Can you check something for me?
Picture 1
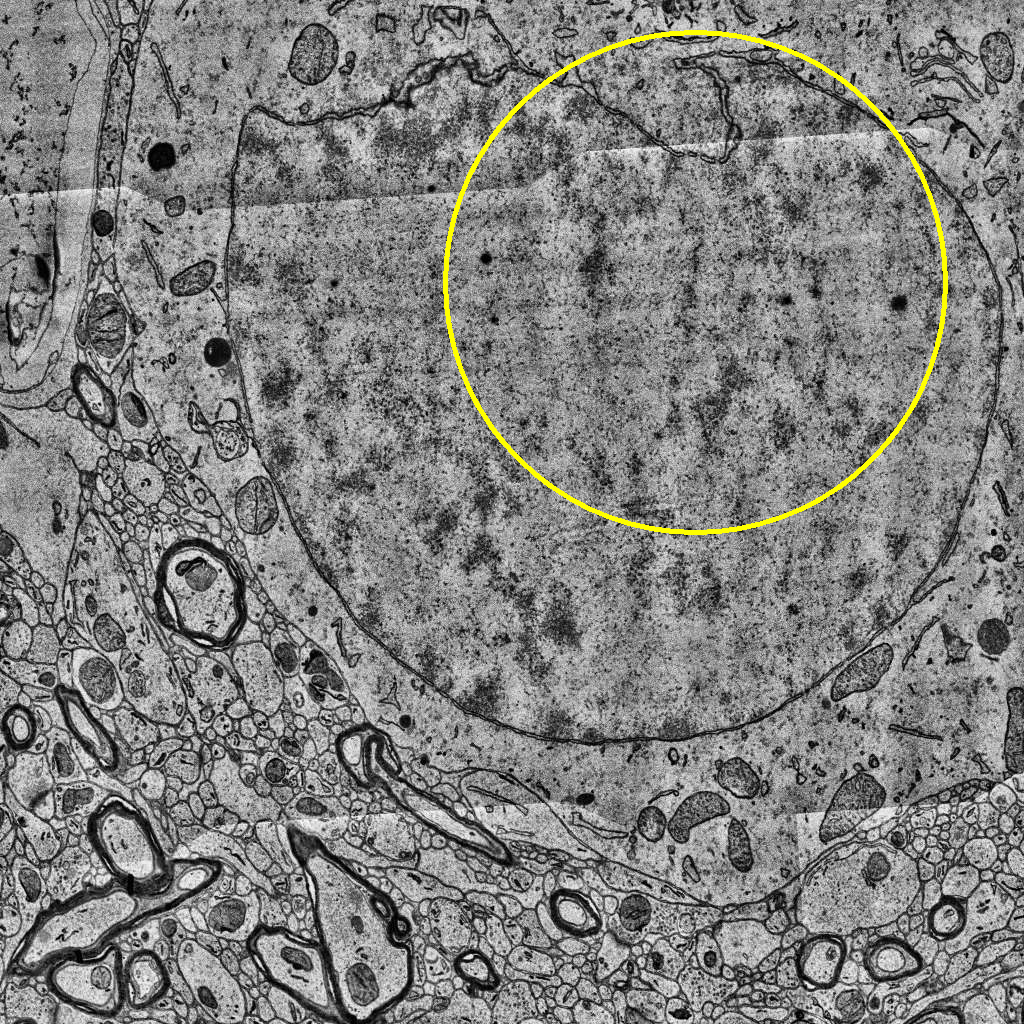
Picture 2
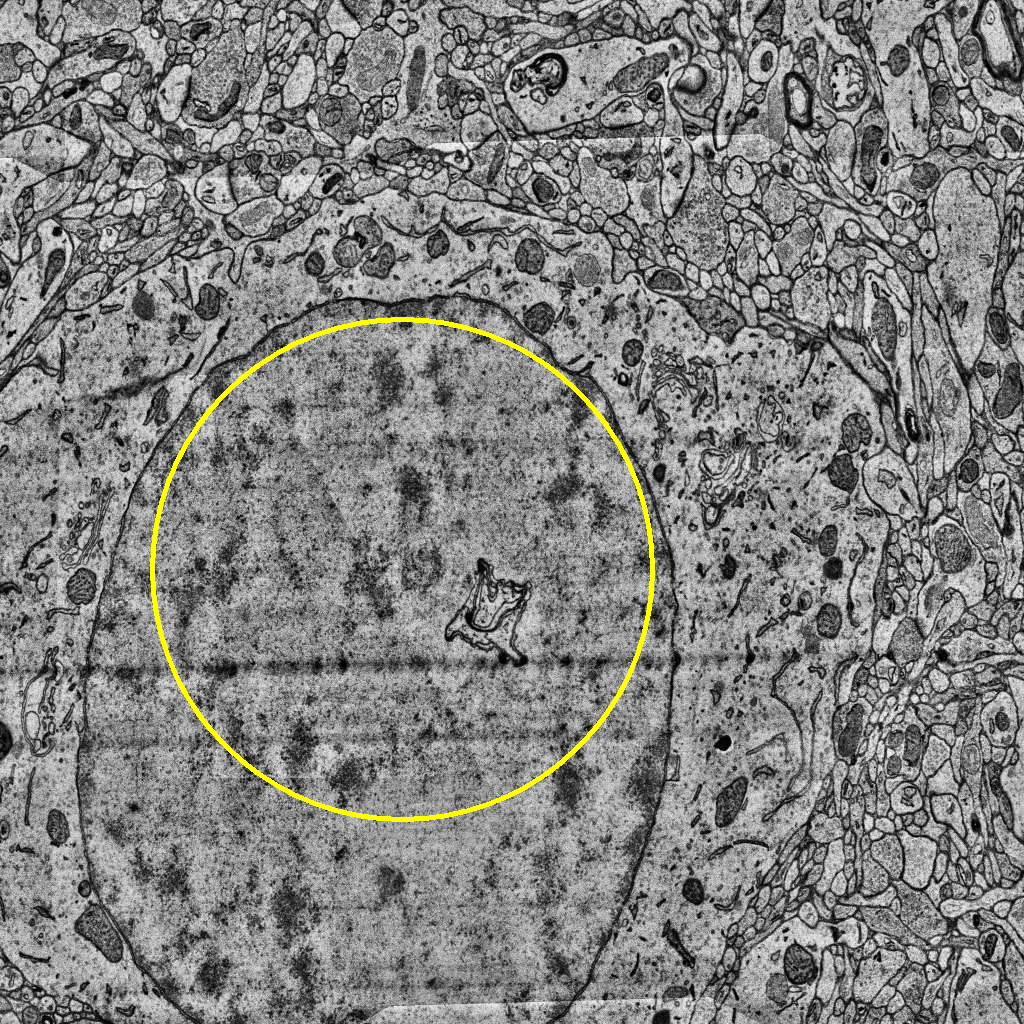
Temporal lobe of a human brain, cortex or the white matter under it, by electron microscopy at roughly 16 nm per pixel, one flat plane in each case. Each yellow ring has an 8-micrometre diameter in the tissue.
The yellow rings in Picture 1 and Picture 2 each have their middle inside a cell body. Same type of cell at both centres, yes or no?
yes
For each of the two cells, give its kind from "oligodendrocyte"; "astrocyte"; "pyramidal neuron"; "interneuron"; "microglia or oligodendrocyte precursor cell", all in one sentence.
Each cell, in the first picture and the second, is a pyramidal neuron.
